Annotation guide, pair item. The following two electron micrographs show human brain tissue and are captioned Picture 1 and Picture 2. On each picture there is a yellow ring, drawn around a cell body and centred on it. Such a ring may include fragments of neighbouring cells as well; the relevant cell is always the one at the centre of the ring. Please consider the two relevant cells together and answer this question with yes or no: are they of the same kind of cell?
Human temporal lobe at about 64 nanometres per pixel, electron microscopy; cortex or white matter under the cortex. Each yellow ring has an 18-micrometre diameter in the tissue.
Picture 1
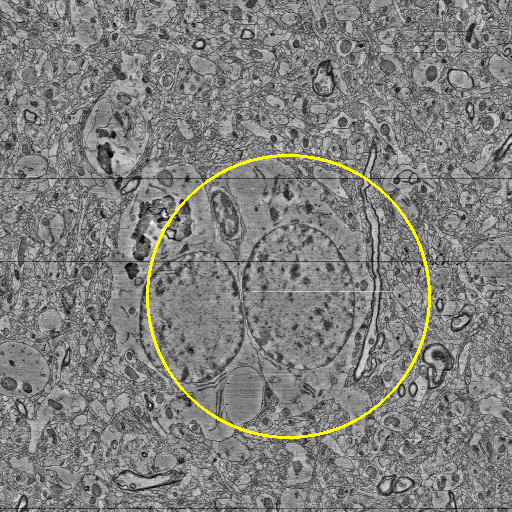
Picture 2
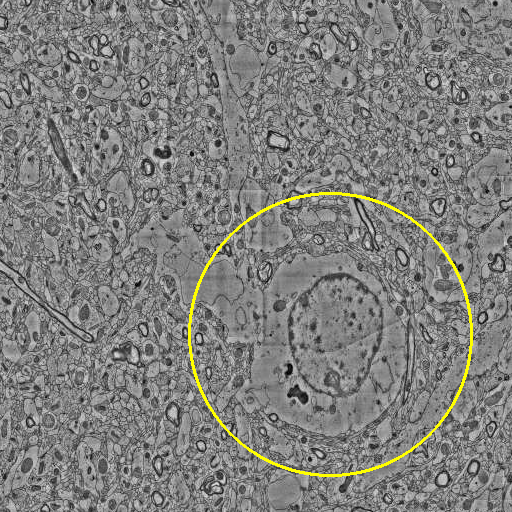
yes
